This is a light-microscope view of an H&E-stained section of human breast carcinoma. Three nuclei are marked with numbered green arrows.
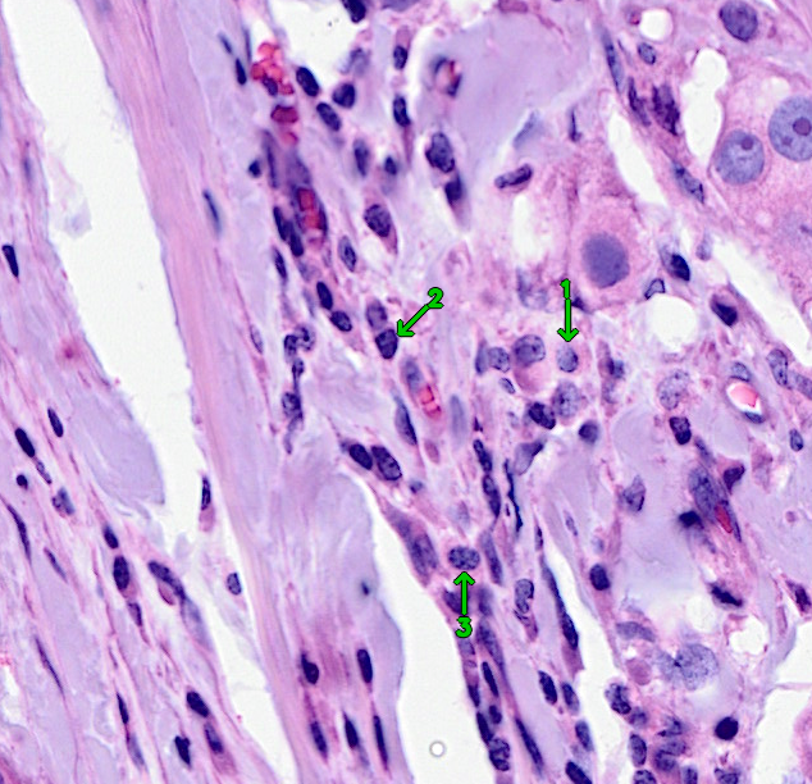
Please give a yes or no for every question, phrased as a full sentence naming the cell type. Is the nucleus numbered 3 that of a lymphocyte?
No, the identification of cell 3 as a lymphocyte is incorrect; it is a mast cell.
